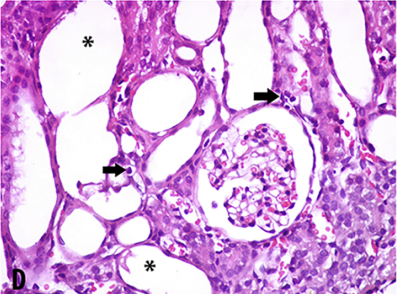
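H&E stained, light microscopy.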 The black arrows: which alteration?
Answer: Necrotic nucleus.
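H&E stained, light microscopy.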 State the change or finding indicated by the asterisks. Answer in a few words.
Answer: Dilated tubule.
